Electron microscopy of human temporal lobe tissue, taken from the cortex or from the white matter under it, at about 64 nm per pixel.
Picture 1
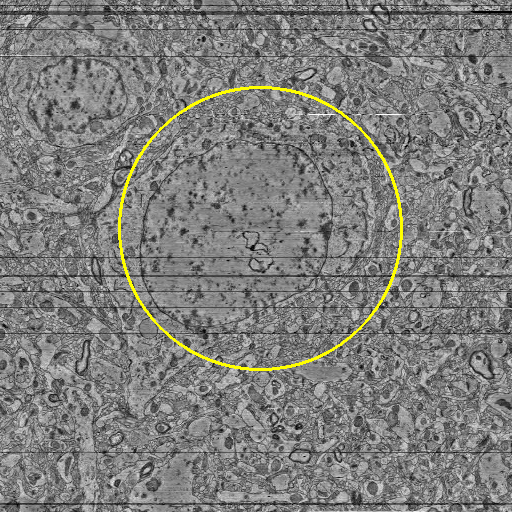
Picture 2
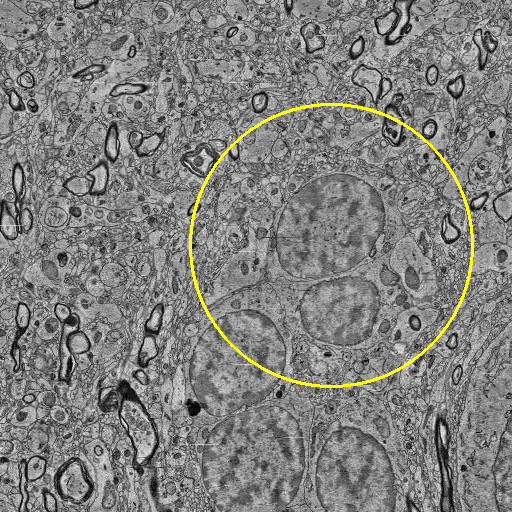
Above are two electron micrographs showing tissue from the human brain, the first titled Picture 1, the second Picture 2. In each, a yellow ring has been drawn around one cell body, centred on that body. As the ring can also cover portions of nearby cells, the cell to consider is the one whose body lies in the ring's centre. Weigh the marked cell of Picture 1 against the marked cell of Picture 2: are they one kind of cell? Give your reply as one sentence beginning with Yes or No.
No, the two cells sitting at the ring centres in the pictures are of two kinds.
